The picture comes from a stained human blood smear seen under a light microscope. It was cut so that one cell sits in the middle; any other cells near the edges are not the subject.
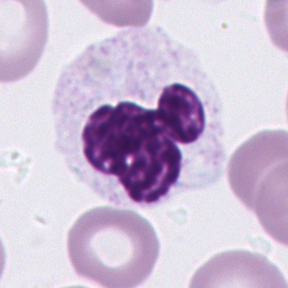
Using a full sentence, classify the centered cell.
In the crop, the cell of interest at the centre is a segmented neutrophil.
